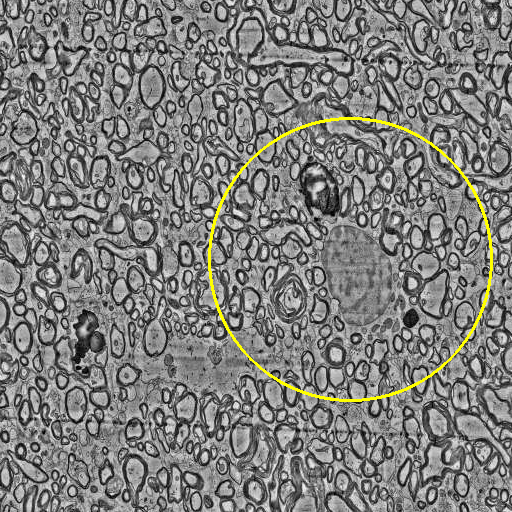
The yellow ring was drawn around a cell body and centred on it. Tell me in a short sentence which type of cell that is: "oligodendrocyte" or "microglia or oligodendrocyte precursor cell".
The cell at the ring's centre is an oligodendrocyte.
